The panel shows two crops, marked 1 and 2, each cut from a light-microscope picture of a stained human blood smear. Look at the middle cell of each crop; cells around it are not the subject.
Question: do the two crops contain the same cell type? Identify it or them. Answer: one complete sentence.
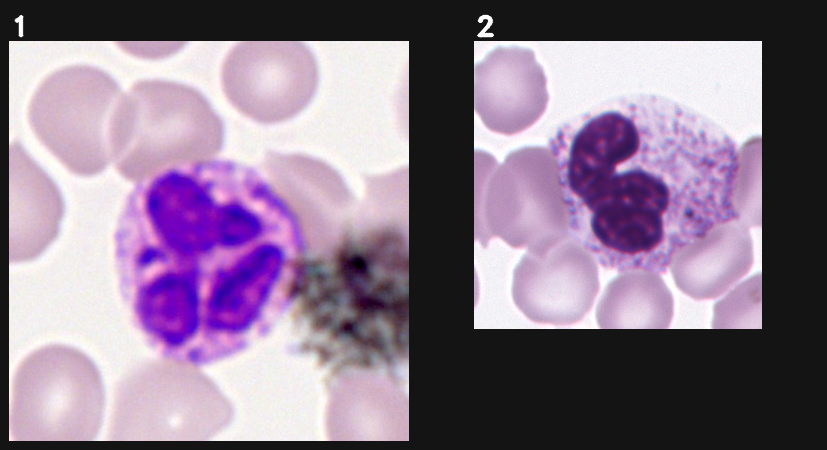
No, shown in crop 1 is a basophil, and shown in crop 2 is a segmented neutrophil.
